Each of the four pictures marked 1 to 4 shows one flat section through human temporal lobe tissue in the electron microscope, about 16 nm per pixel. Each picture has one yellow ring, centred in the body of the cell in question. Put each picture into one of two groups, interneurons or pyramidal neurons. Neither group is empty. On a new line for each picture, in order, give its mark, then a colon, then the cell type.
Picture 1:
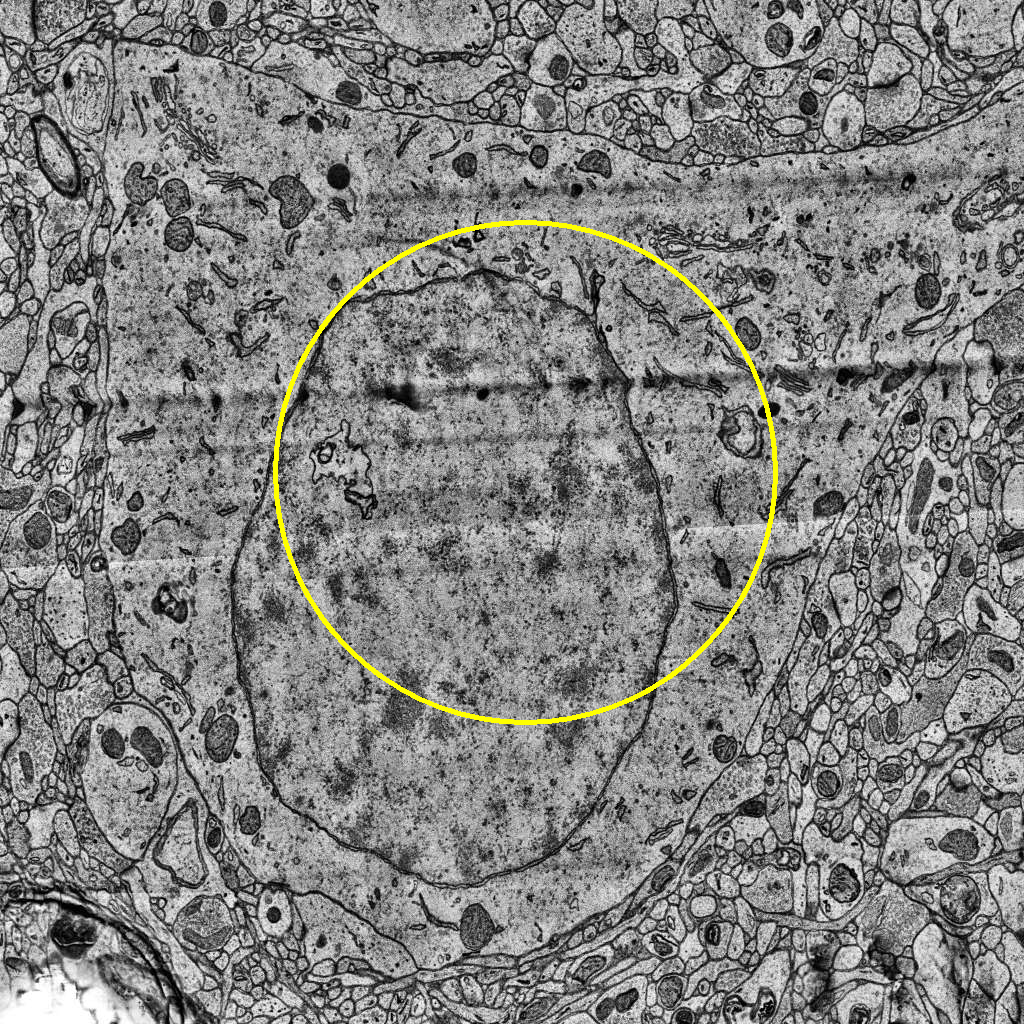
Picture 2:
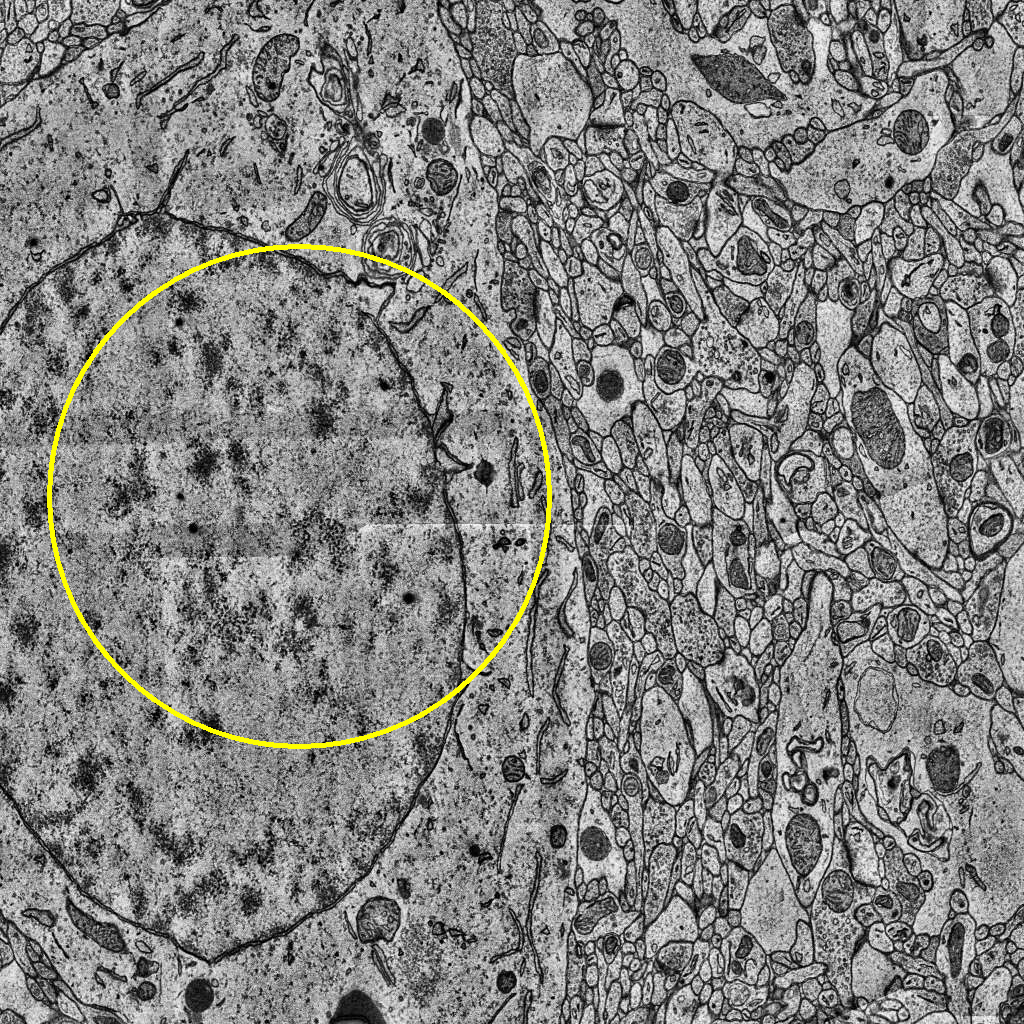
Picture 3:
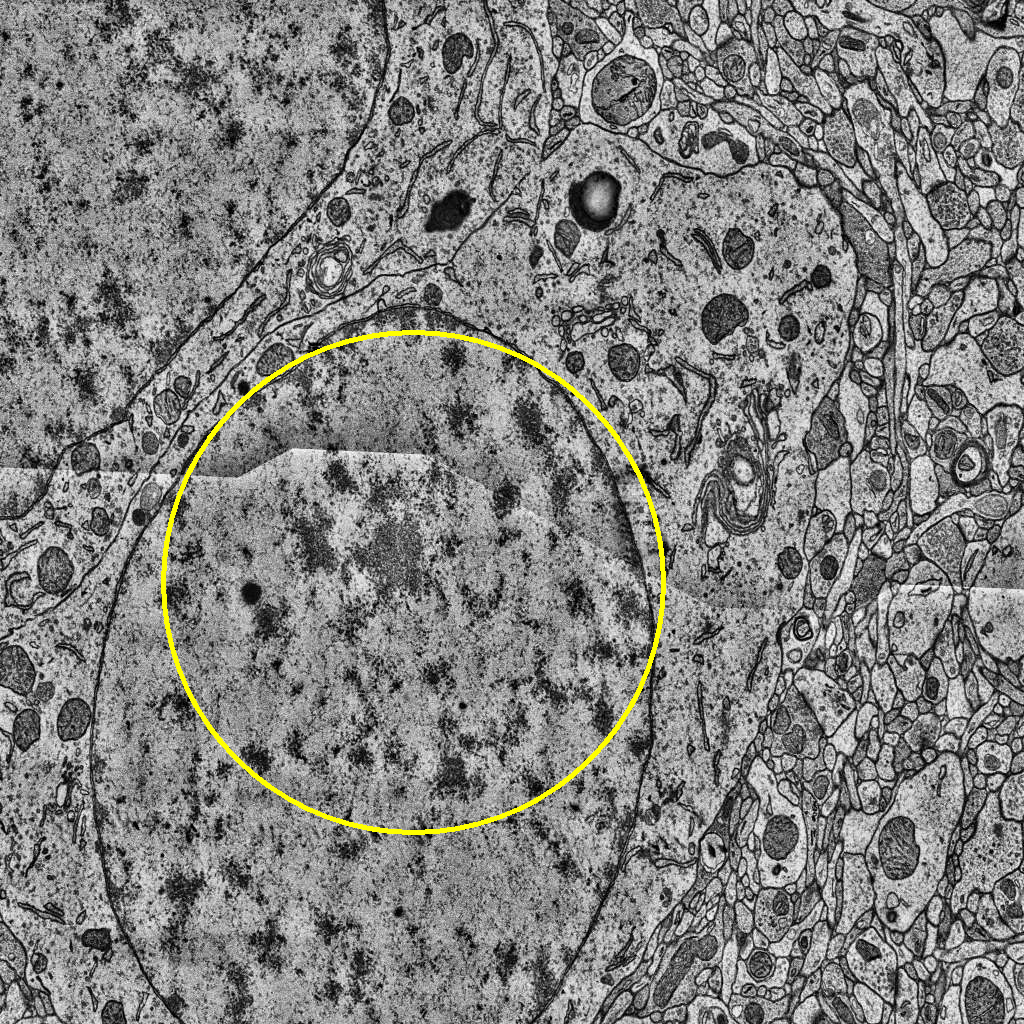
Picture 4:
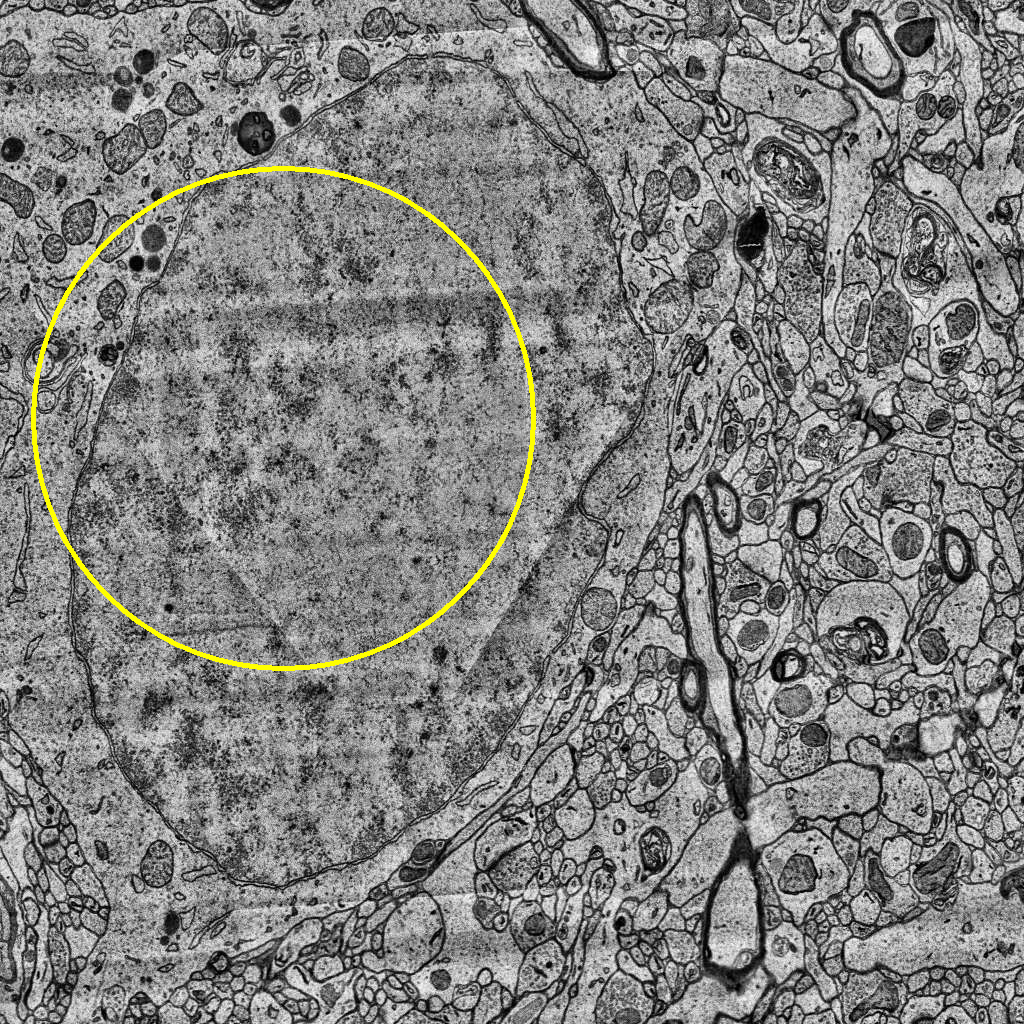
1: pyramidal neuron
2: pyramidal neuron
3: pyramidal neuron
4: interneuron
